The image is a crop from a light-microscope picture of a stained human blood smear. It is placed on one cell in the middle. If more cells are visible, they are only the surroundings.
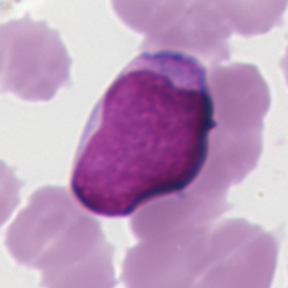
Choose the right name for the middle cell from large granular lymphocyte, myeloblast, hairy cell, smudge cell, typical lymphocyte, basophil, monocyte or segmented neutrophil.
myeloblast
